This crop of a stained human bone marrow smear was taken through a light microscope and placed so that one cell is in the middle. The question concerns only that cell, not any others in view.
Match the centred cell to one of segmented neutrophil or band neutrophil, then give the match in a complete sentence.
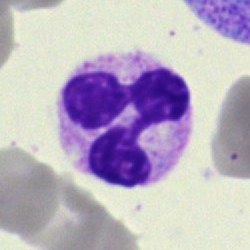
The cell sitting right in the middle is a segmented neutrophil.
